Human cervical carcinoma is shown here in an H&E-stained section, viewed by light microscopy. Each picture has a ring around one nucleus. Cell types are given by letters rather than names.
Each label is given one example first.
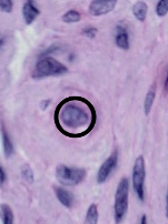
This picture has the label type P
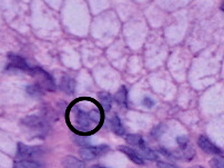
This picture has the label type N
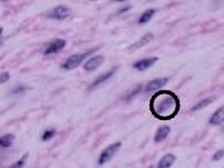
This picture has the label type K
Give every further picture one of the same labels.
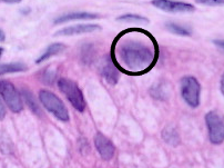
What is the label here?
type N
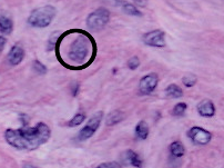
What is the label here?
type K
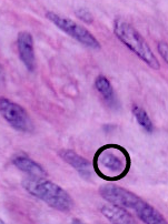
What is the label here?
type K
